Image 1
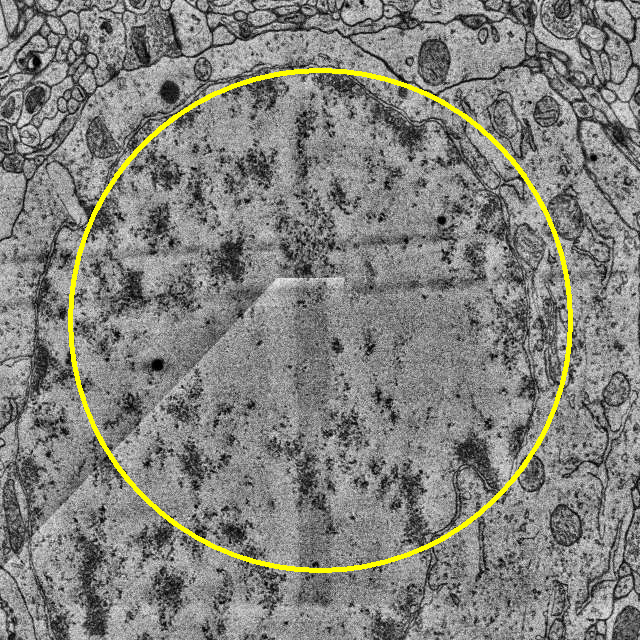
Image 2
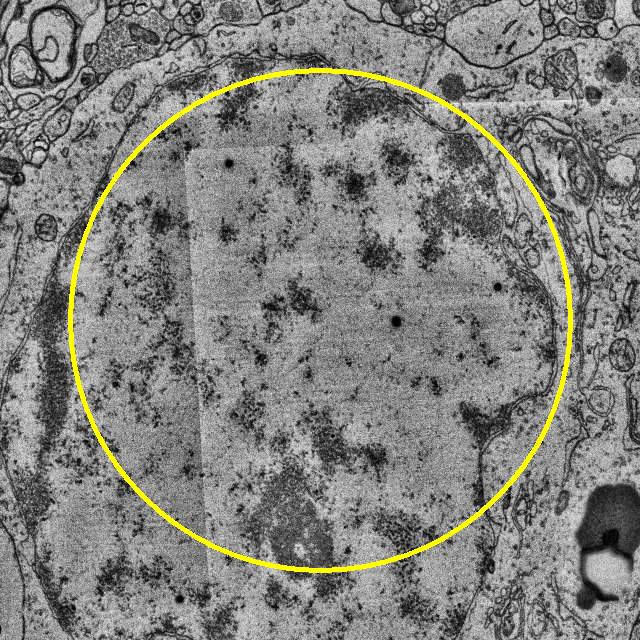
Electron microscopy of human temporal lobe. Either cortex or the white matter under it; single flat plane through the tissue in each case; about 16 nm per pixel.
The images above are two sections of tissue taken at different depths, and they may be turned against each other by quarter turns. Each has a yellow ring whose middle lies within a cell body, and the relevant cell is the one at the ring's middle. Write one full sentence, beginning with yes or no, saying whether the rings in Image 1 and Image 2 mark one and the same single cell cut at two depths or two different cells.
Yes, the same cell has been marked in both yellow rings.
